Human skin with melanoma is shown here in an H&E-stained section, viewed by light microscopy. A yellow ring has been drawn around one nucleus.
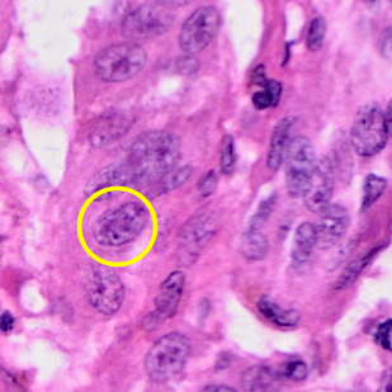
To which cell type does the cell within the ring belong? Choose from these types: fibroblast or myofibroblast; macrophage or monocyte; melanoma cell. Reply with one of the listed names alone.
melanoma cell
